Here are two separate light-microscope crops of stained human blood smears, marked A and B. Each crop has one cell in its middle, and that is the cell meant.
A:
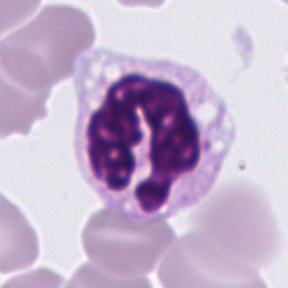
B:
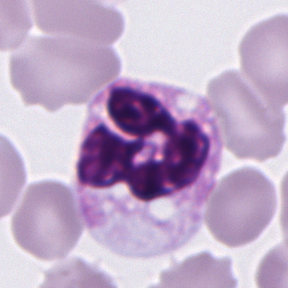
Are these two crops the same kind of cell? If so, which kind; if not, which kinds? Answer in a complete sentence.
Yes, the same answer goes for both crops, namely segmented neutrophils.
